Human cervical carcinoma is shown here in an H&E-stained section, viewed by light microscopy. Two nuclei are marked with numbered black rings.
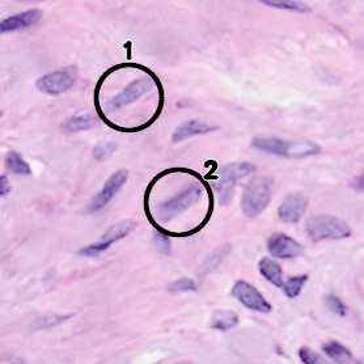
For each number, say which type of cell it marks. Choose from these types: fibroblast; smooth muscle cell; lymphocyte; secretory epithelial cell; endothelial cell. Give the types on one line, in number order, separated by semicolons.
smooth muscle cell; fibroblast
